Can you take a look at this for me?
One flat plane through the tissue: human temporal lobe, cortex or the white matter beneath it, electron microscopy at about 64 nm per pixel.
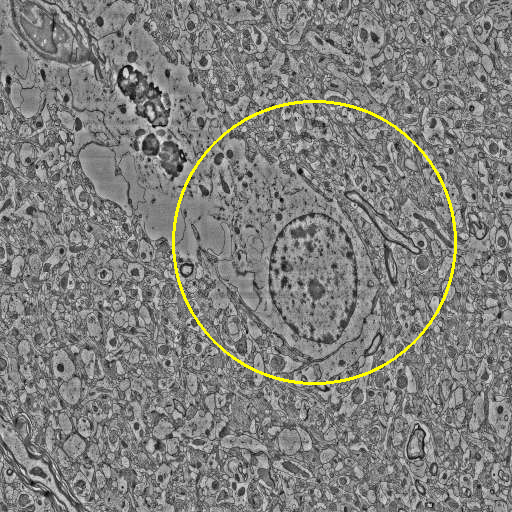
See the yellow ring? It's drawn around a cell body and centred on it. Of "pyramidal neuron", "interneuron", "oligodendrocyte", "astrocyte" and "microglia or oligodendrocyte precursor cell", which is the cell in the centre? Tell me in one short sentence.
The one in the centre is an astrocyte.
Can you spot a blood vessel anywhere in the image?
Yes, there is a blood vessel.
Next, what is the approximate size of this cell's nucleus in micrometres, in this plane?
The nucleus appears roughly 8 by 6 micrometres in this plane.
